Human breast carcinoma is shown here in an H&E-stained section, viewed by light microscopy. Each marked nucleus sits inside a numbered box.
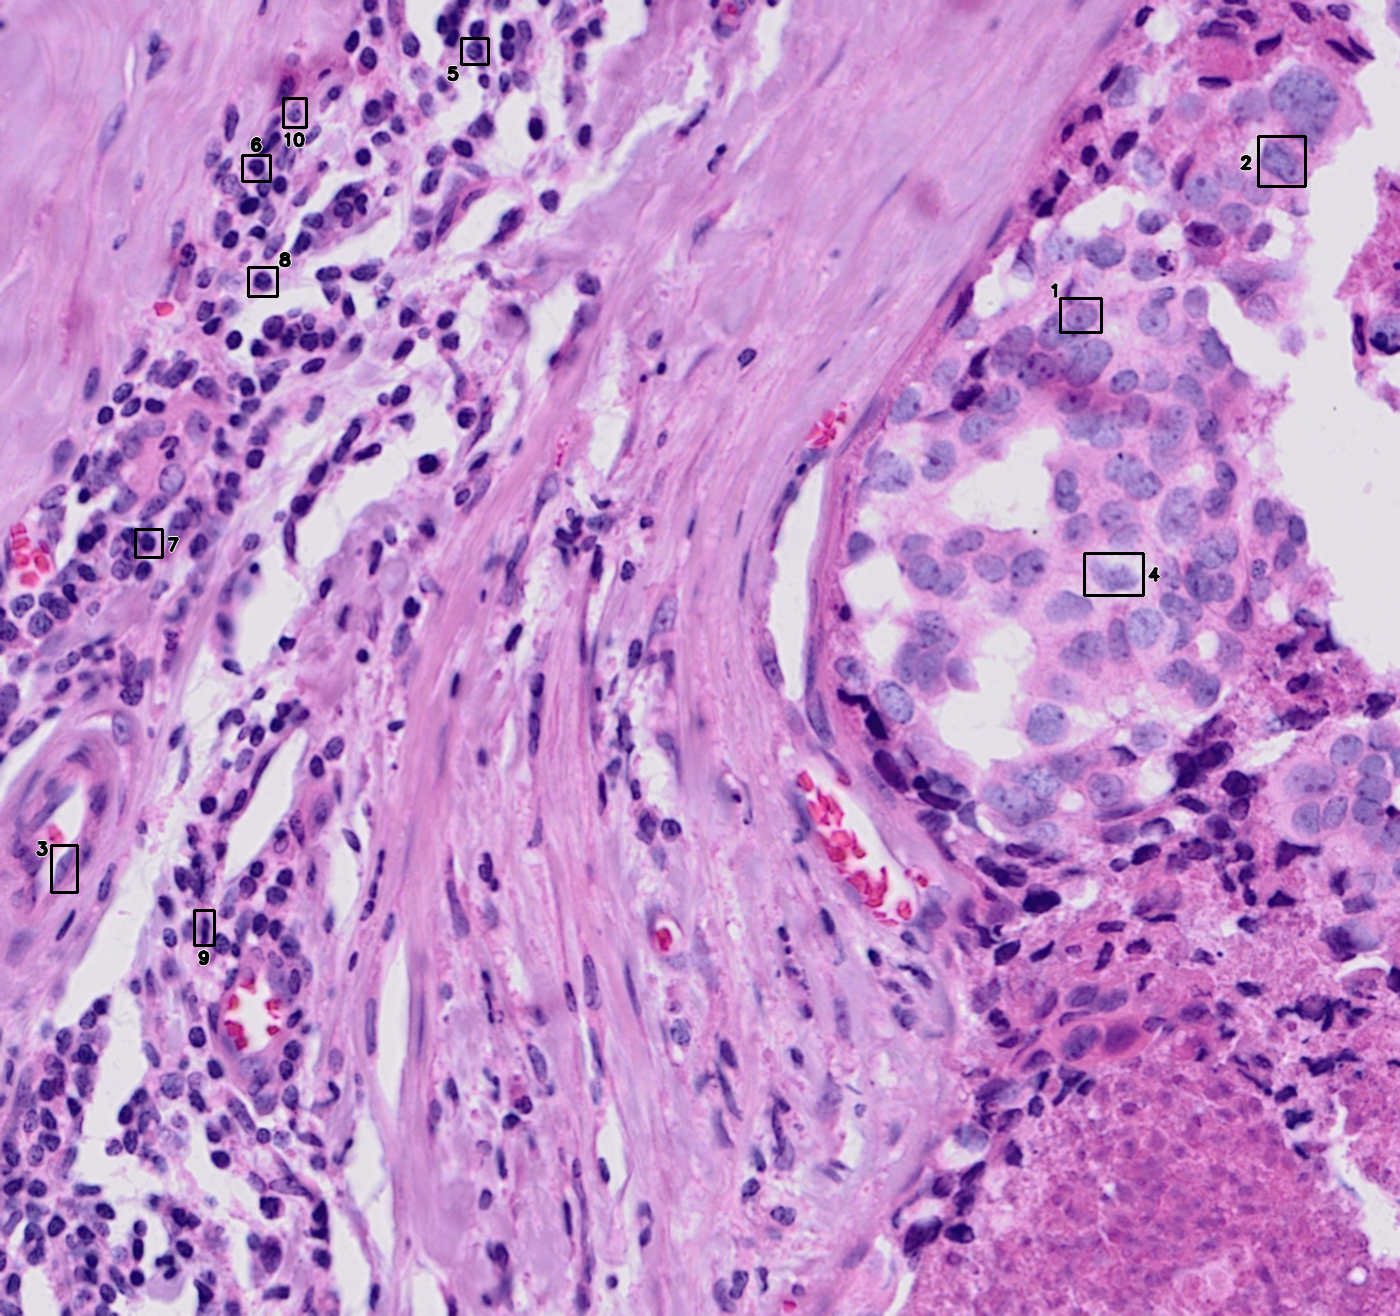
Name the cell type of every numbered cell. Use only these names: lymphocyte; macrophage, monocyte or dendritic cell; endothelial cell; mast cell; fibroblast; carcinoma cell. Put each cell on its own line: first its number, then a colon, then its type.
1: carcinoma cell
2: carcinoma cell
3: endothelial cell
4: carcinoma cell
5: lymphocyte
6: lymphocyte
7: lymphocyte
8: lymphocyte
9: lymphocyte
10: lymphocyte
